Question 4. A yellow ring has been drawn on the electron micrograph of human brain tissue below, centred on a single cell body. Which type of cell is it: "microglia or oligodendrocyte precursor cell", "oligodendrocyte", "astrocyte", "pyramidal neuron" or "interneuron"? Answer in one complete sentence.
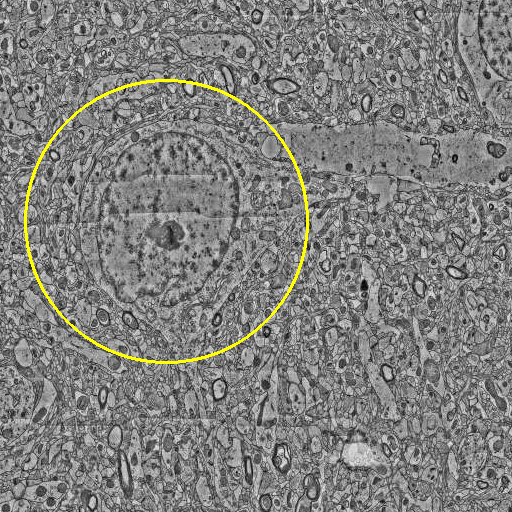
This cell body belongs to an interneuron.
